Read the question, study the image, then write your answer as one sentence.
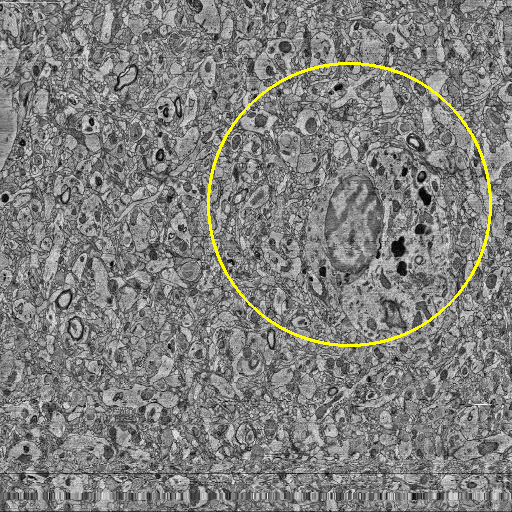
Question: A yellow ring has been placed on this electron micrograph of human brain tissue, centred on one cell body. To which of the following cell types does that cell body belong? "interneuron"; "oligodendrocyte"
That cell body belongs to an oligodendrocyte.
